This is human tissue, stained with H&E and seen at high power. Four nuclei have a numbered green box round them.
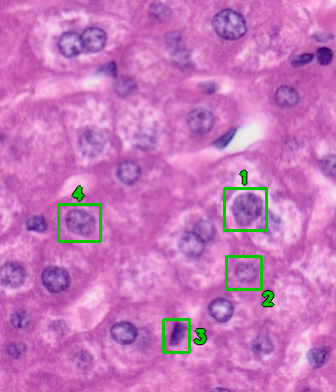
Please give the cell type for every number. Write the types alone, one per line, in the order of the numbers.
hepatocyte
hepatocyte
fibroblast or stellate cell
hepatocyte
